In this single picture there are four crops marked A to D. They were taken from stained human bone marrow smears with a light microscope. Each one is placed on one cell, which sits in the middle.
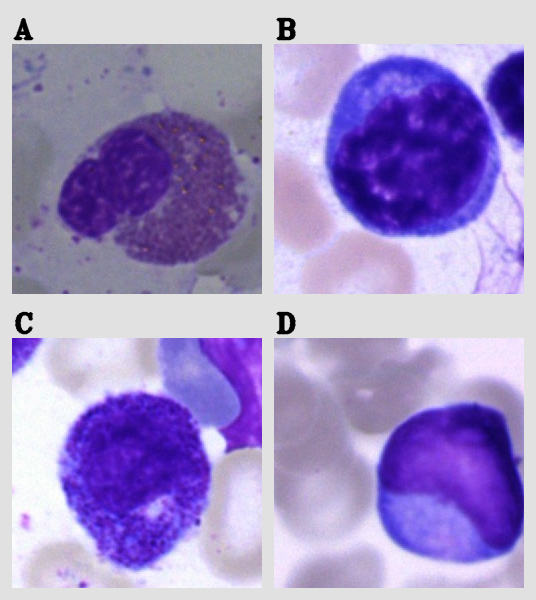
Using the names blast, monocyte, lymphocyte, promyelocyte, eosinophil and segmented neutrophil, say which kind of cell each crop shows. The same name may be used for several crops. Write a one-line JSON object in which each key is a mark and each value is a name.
{"A": "eosinophil", "B": "blast", "C": "promyelocyte", "D": "blast"}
